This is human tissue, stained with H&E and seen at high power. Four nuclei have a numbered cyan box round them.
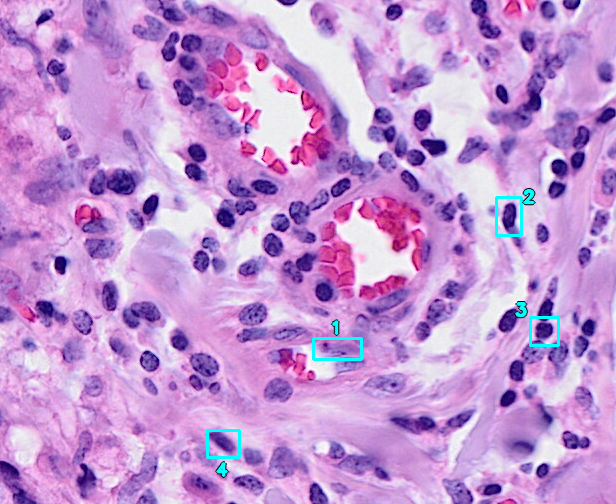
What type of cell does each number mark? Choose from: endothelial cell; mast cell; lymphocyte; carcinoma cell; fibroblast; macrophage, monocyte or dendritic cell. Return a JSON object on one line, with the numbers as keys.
{"1": "endothelial cell", "2": "lymphocyte", "3": "lymphocyte", "4": "lymphocyte"}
